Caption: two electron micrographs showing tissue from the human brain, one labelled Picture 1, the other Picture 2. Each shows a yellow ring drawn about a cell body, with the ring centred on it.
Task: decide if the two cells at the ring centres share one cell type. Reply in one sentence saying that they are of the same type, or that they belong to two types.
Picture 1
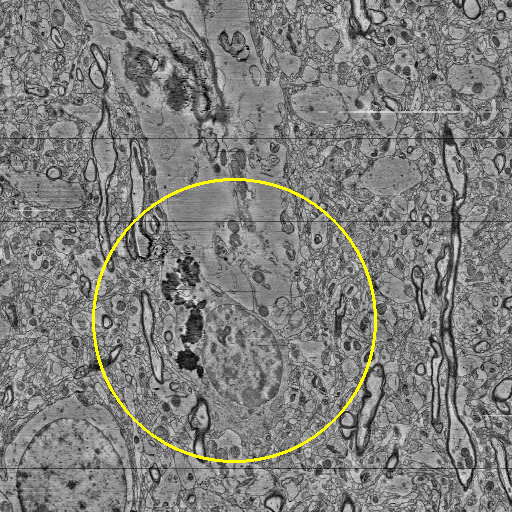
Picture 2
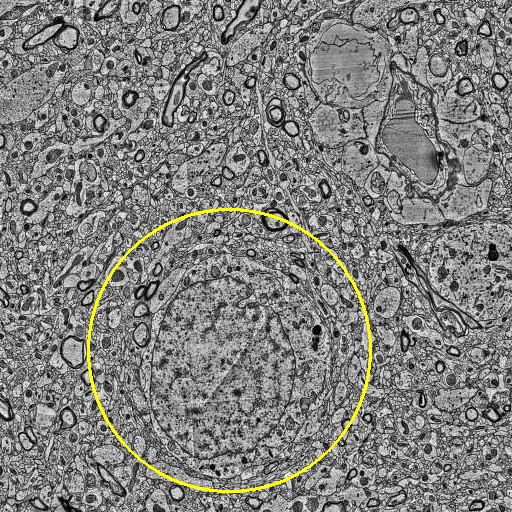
The cells at the ring centres in Picture 1 and Picture 2 belong to two types.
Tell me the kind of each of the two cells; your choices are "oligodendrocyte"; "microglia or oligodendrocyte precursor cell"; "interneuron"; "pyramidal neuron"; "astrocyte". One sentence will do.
The ringed cell is an oligodendrocyte in the first picture and a pyramidal neuron in the second picture.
